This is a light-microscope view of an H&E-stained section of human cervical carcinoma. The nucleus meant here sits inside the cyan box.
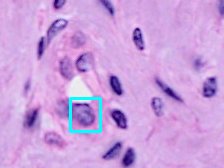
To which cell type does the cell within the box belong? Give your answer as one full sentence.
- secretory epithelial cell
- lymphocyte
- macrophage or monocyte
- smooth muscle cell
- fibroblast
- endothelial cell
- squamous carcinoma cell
Cell type answer for this item: the cell within the box is an endothelial cell.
